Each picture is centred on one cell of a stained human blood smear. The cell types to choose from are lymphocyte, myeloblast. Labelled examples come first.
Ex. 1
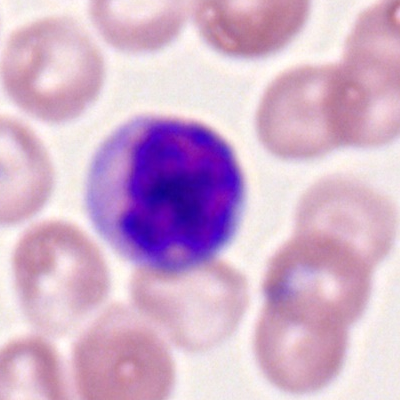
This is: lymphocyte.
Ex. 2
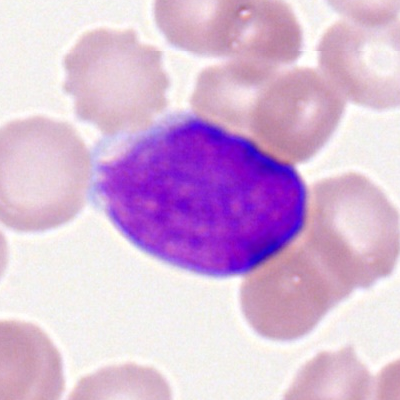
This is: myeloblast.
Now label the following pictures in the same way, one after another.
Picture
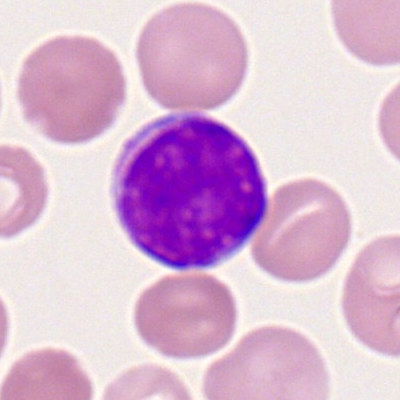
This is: lymphocyte.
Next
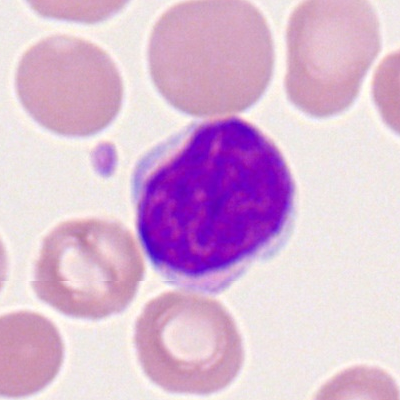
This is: lymphocyte.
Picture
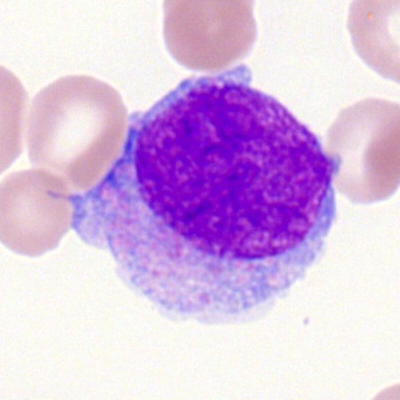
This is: myeloblast.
